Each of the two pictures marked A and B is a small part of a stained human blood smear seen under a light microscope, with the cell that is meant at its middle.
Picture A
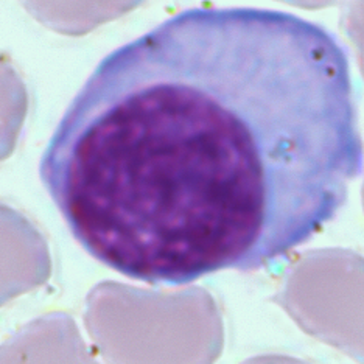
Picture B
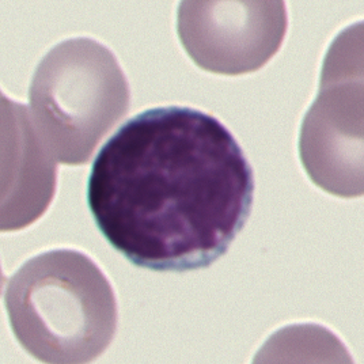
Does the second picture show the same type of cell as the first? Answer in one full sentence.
No; the cell in picture A is a plasma cell, while the one in picture B is a typical lymphocyte.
